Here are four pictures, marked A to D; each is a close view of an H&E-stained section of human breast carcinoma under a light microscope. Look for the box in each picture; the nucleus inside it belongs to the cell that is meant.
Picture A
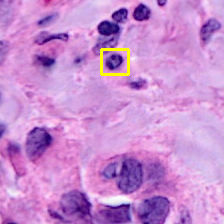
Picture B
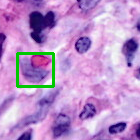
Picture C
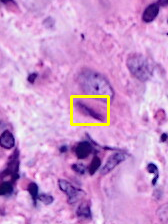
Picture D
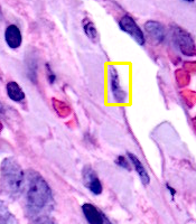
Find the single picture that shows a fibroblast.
D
